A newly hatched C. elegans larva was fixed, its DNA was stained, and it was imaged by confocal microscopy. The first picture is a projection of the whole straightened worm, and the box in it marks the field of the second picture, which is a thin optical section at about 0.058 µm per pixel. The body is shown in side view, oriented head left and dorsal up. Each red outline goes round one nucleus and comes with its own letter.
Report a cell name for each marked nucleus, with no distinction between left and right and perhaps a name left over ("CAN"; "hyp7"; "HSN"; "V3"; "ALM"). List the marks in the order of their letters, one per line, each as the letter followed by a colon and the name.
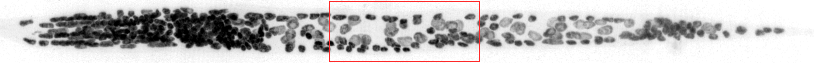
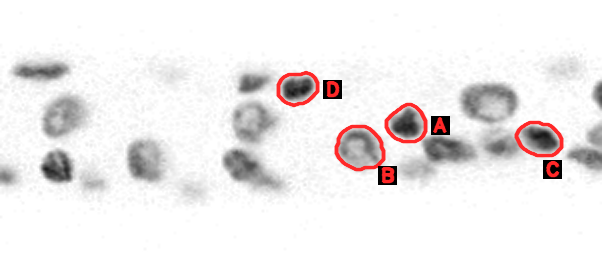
A: CAN
B: V3
C: HSN
D: ALM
